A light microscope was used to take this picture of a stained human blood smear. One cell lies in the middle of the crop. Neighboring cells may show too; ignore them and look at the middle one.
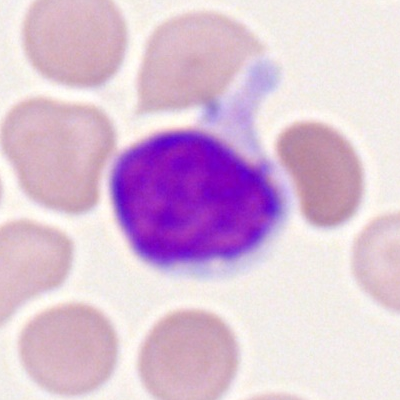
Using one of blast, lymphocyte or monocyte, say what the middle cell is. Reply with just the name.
lymphocyte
